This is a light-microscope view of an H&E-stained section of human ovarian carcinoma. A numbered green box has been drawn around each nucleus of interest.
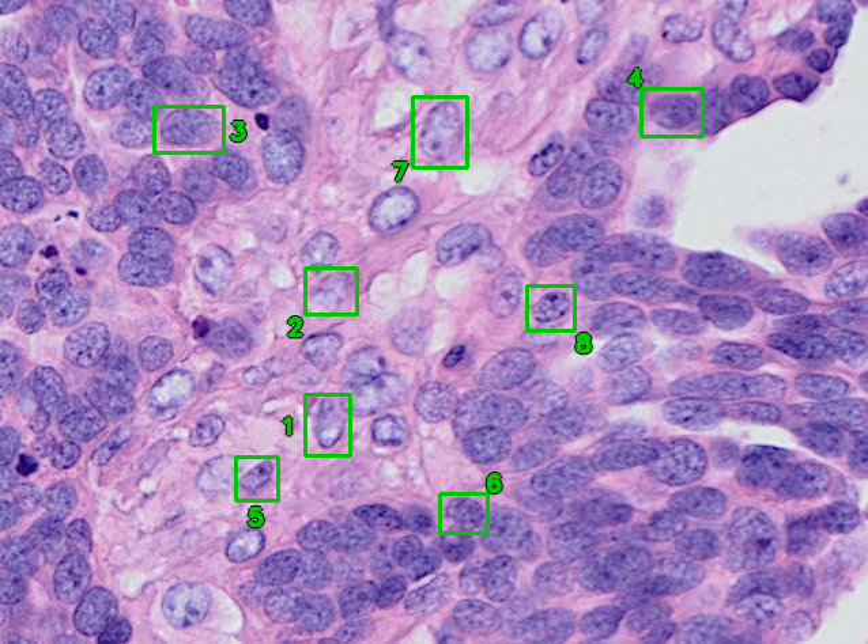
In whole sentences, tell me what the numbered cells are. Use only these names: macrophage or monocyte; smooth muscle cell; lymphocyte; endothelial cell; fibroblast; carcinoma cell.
Cell 1 is a fibroblast, cell 2 is a fibroblast, cell 3 is a carcinoma cell, cell 4 is a carcinoma cell, cell 5 is a fibroblast, cell 6 is a carcinoma cell, cell 7 is a fibroblast and cell 8 is a macrophage or monocyte.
